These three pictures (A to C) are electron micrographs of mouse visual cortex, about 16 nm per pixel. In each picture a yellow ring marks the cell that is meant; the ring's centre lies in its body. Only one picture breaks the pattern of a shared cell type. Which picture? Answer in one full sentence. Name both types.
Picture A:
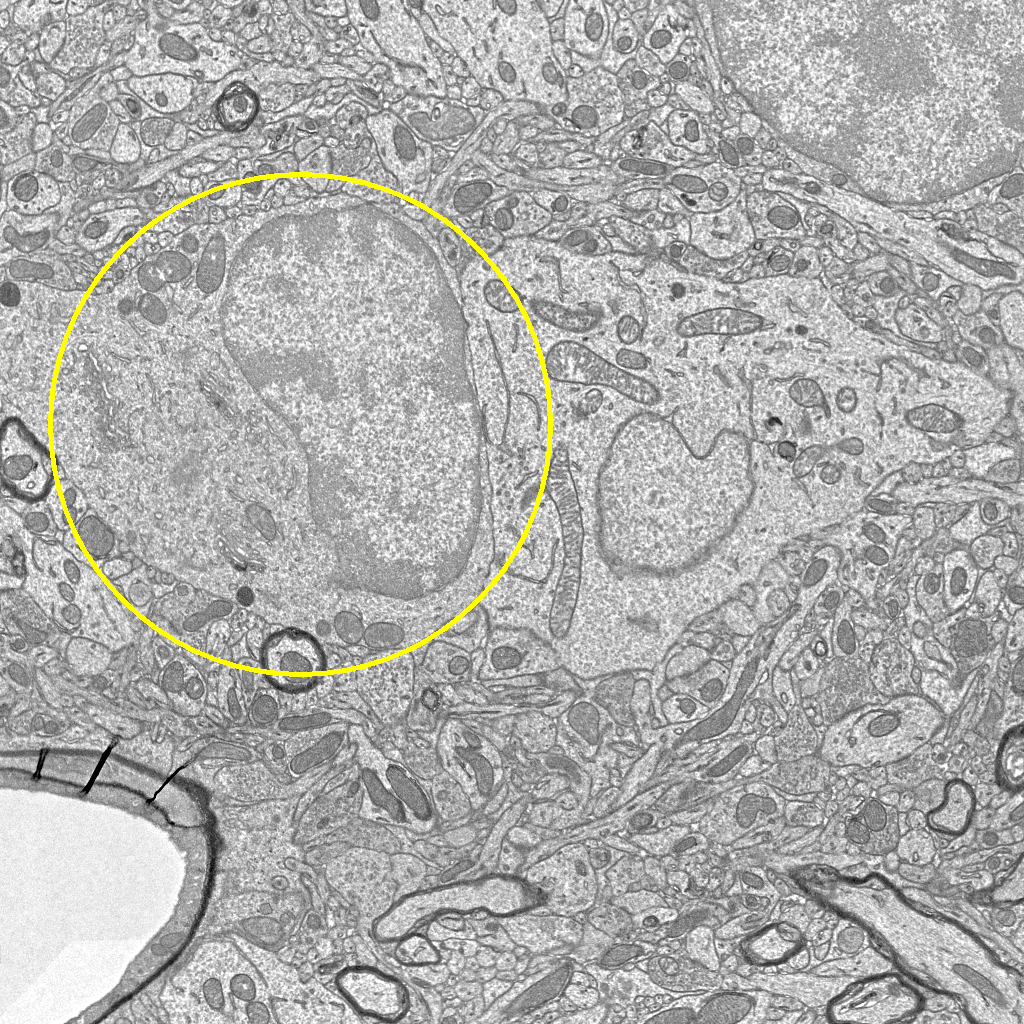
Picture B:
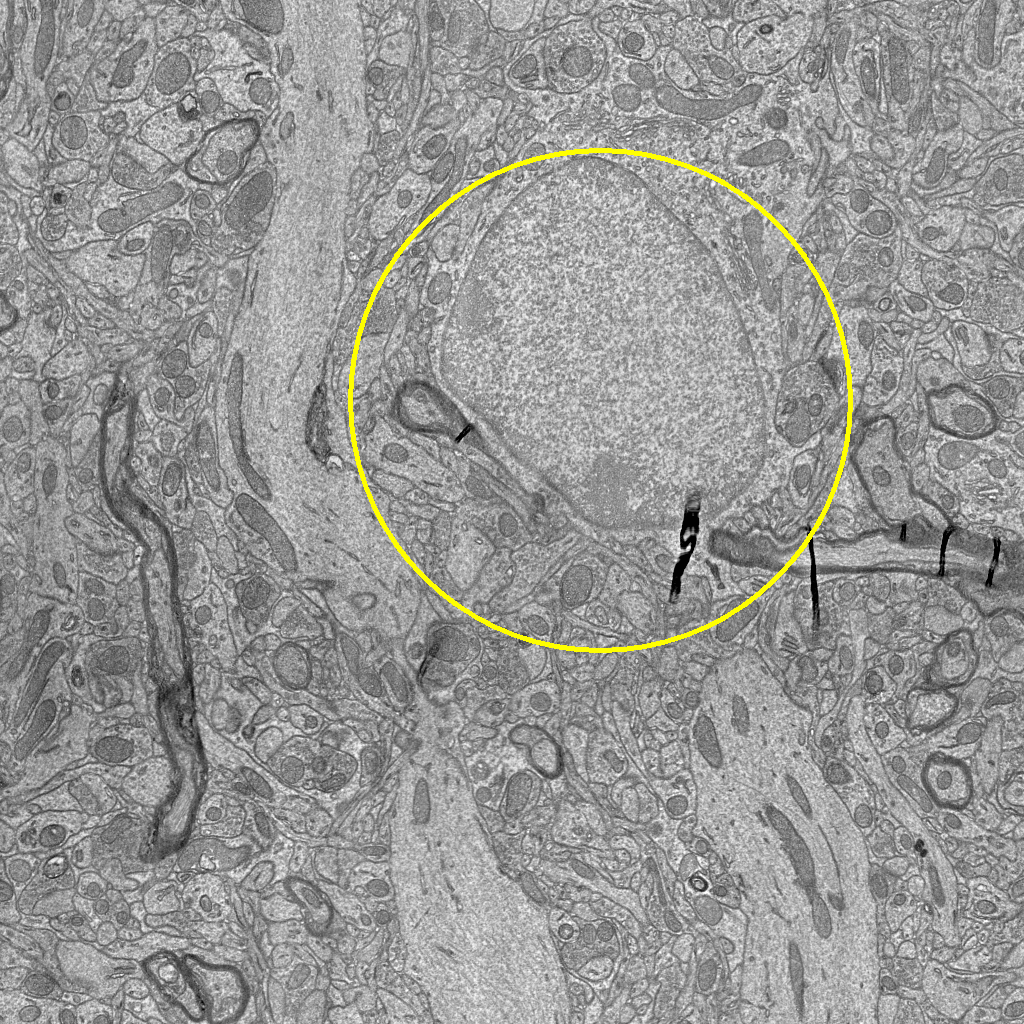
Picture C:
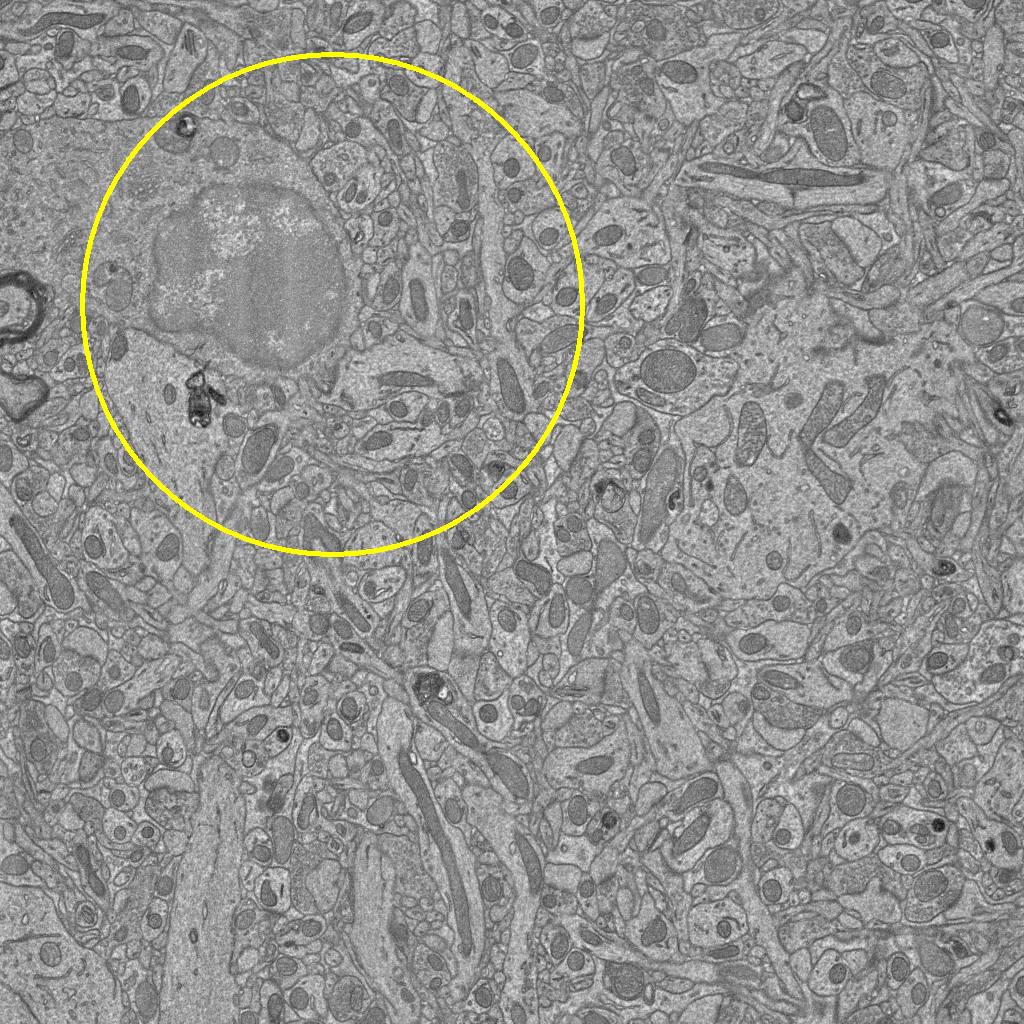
Unlike the rest, which show oligodendrocytes, picture B shows an astrocyte.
